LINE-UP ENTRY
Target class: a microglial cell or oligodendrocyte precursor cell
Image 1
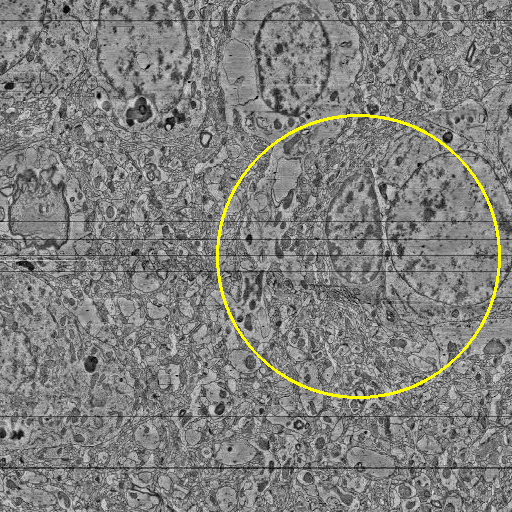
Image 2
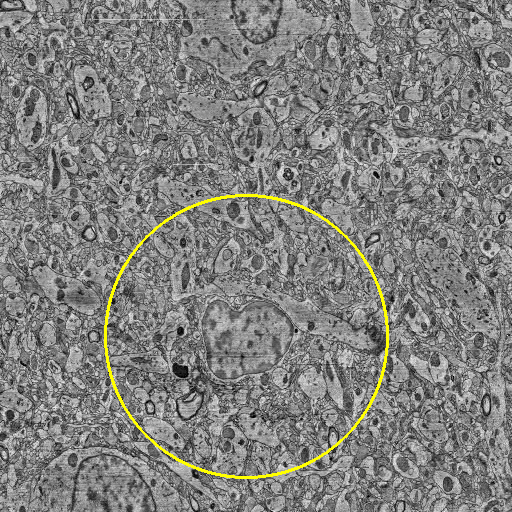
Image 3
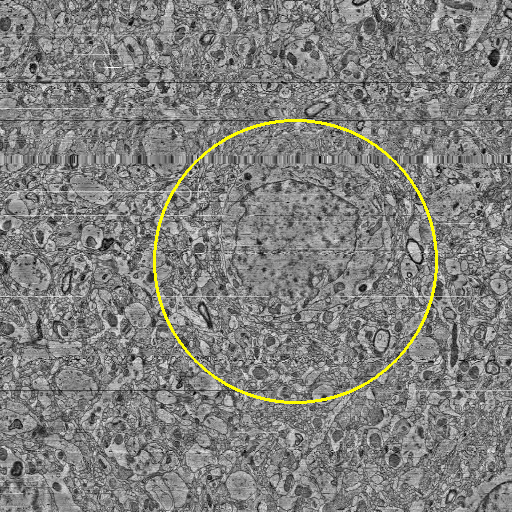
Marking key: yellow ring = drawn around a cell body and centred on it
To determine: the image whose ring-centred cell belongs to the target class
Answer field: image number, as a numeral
2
